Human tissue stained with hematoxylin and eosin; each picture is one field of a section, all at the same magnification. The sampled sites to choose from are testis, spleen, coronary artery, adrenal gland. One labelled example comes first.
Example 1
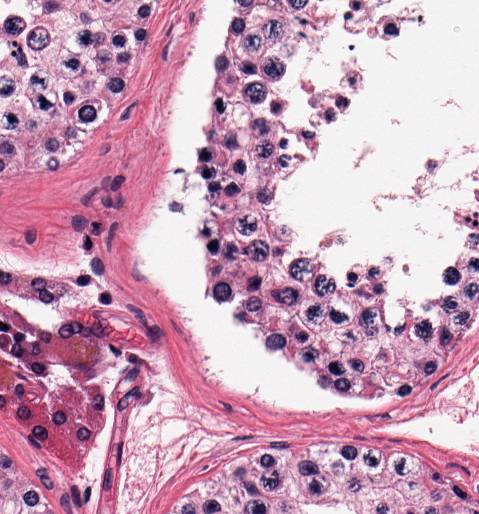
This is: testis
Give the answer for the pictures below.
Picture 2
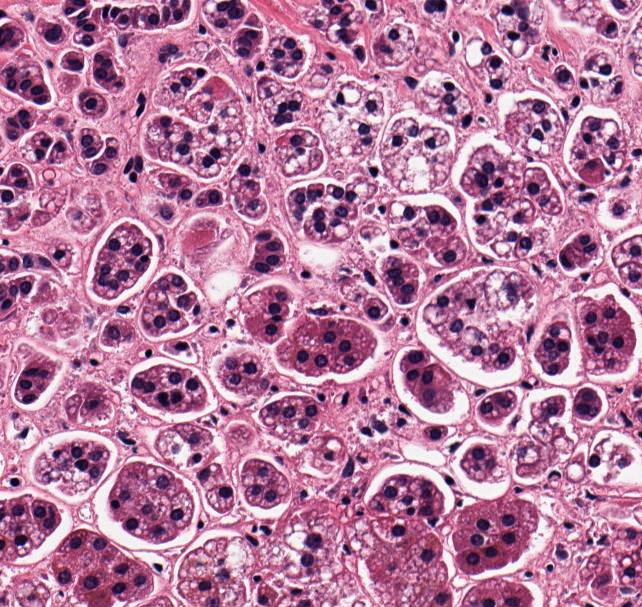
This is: adrenal gland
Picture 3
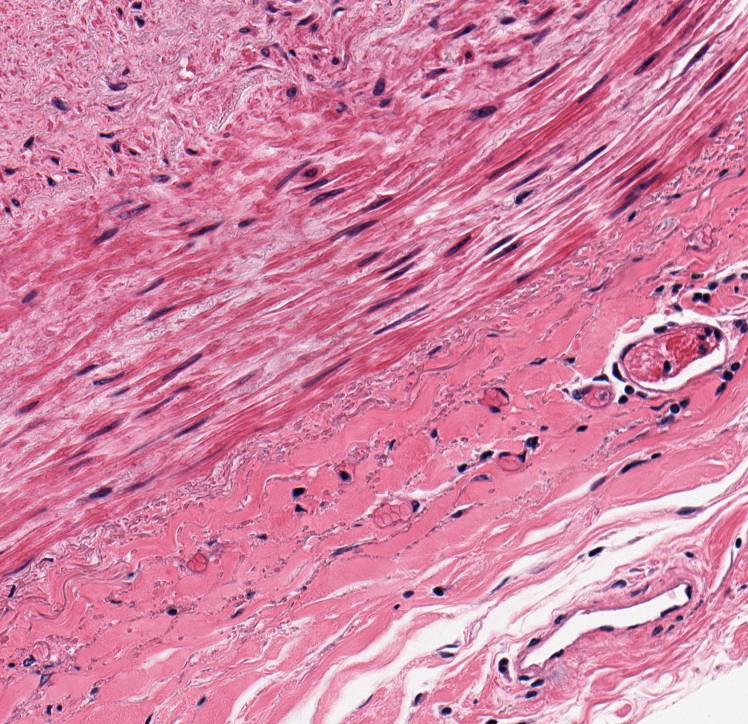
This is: coronary artery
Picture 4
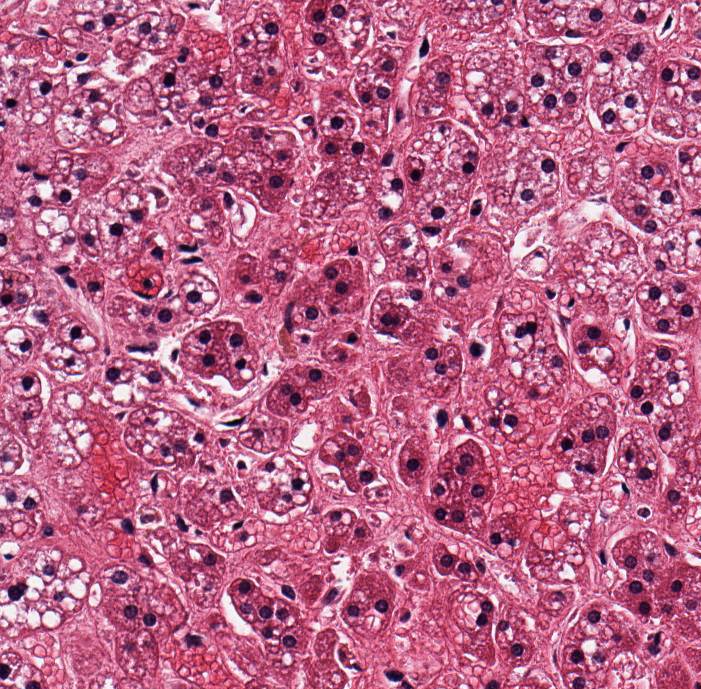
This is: adrenal gland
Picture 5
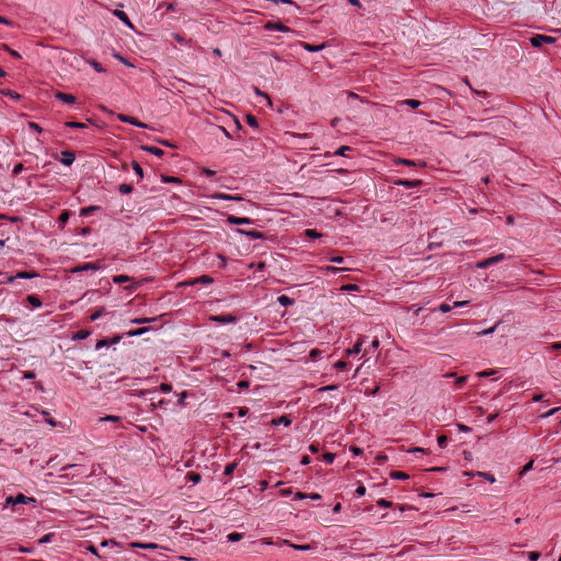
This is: coronary artery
